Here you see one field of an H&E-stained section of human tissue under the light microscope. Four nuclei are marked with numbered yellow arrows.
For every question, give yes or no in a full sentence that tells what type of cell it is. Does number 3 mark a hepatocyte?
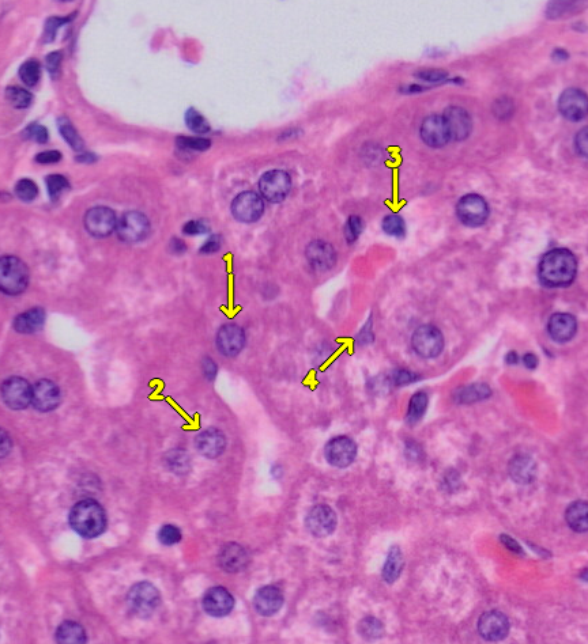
No, instead of a hepatocyte, the cell with number 3 is a lymphocyte.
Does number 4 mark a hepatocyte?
No, it is an endothelial cell that is marked with number 4, not a hepatocyte.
